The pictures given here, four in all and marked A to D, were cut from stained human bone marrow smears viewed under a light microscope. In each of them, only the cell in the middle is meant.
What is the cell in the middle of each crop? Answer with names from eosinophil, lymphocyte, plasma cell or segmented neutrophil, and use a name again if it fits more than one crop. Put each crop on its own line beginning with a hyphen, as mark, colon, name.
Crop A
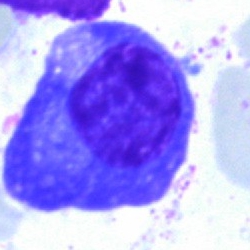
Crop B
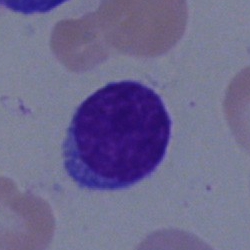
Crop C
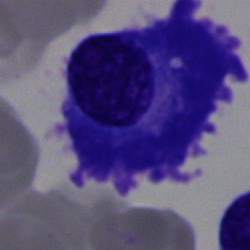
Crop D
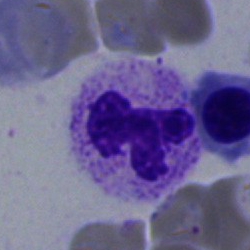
- A: plasma cell
- B: lymphocyte
- C: plasma cell
- D: segmented neutrophil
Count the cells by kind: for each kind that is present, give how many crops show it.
plasma cell: 2
lymphocyte: 1
segmented neutrophil: 1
